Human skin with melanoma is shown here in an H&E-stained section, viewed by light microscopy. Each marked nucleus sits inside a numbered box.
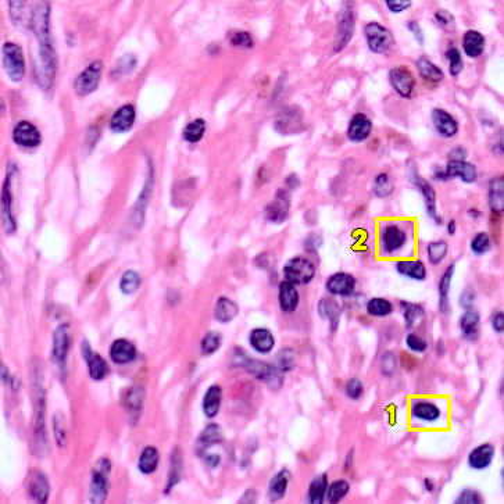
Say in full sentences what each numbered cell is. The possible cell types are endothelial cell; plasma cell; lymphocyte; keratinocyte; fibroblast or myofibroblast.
Cell 1 is a lymphocyte and cell 2 is a plasma cell.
